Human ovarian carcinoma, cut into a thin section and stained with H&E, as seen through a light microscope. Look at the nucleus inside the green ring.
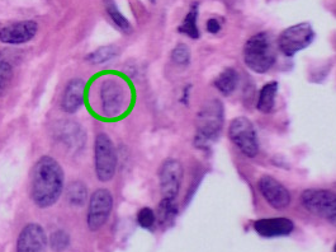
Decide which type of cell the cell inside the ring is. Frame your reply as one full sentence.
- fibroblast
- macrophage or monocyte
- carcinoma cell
As far as its identity is concerned, the cell inside the ring is a carcinoma cell.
